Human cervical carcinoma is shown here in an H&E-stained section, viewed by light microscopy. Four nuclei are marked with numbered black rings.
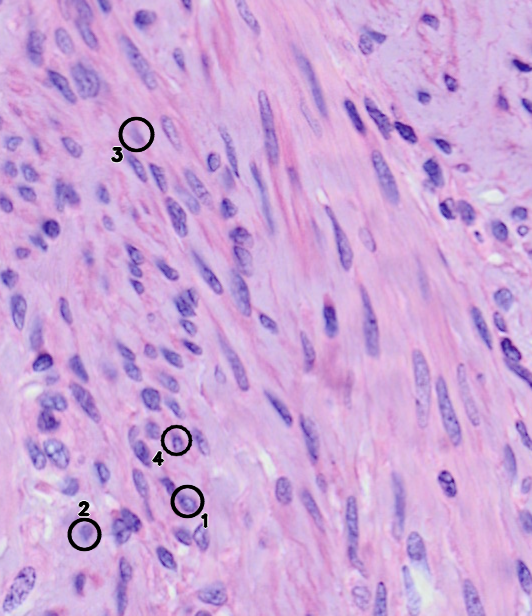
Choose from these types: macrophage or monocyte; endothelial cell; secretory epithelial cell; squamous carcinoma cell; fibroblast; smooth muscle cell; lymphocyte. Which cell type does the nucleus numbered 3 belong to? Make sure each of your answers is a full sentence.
The cell whose nucleus carries the number 3 is a smooth muscle cell.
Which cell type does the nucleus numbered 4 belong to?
The numeral 4 marks a smooth muscle cell in this section.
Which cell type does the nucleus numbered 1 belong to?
The one numbered 1 among the marked cells is a smooth muscle cell.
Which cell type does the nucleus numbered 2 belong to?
Here, the cell given the number 2 is a fibroblast.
